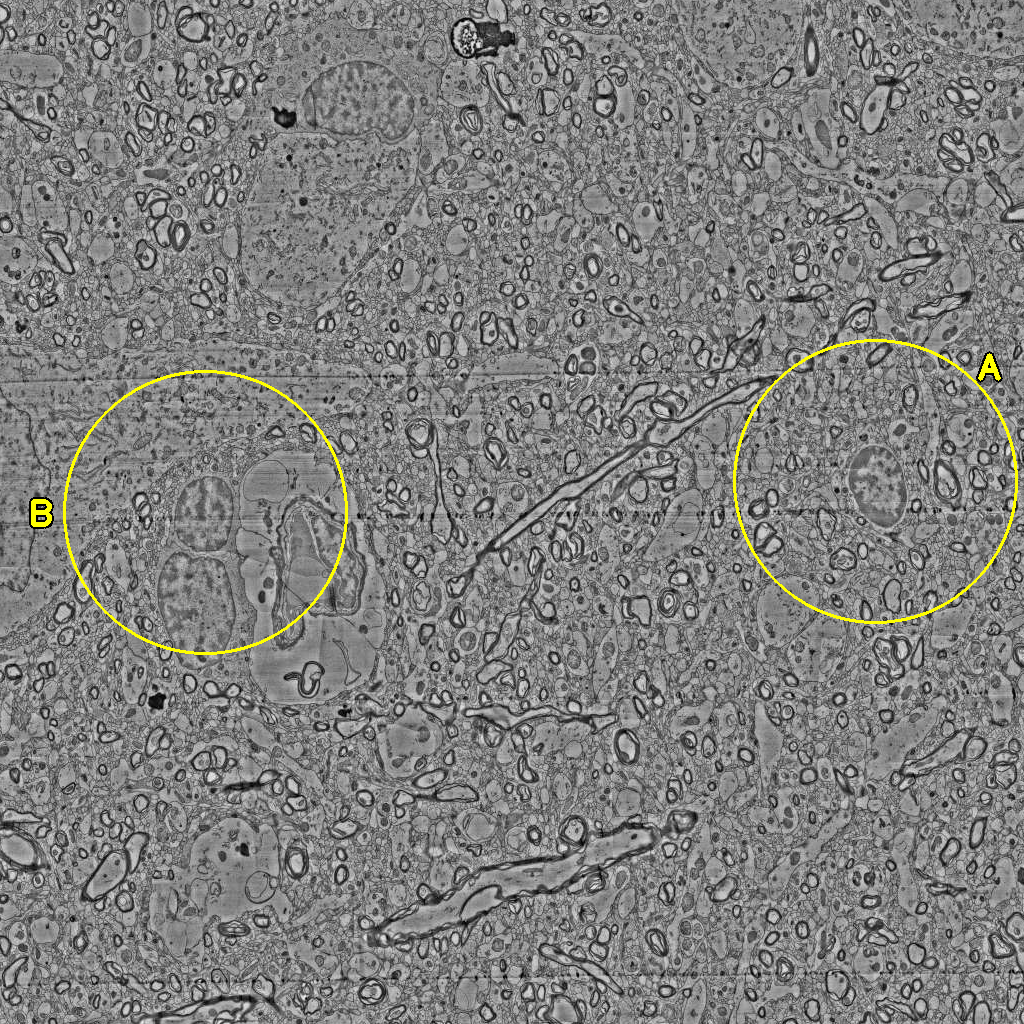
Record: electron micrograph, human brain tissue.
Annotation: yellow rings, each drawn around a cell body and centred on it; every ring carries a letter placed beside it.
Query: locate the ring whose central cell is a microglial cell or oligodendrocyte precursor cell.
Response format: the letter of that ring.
A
